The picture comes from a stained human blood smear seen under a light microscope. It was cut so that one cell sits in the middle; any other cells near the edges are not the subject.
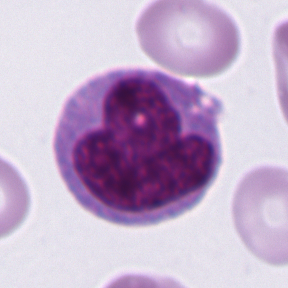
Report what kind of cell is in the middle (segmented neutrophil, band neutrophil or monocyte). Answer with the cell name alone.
monocyte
